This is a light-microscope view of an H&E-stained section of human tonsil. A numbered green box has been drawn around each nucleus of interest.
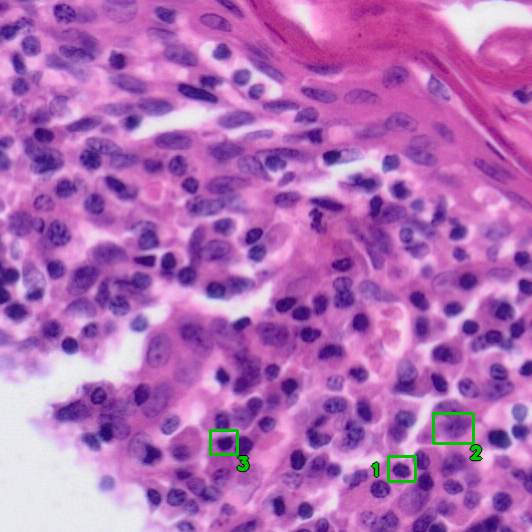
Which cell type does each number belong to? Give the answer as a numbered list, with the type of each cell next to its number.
1. plasma cell
2. squamous epithelial cell
3. plasma cell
